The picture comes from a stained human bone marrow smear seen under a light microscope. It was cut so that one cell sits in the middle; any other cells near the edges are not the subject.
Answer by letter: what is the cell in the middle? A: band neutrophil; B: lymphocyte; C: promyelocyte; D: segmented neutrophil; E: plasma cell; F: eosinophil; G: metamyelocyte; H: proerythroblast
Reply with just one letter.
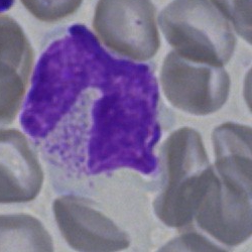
A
